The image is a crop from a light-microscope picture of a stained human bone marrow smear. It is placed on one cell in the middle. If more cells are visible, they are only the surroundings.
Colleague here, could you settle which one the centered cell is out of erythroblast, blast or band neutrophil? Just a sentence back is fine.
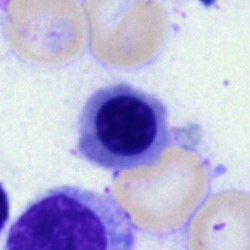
In the centre of this crop there is an erythroblast.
